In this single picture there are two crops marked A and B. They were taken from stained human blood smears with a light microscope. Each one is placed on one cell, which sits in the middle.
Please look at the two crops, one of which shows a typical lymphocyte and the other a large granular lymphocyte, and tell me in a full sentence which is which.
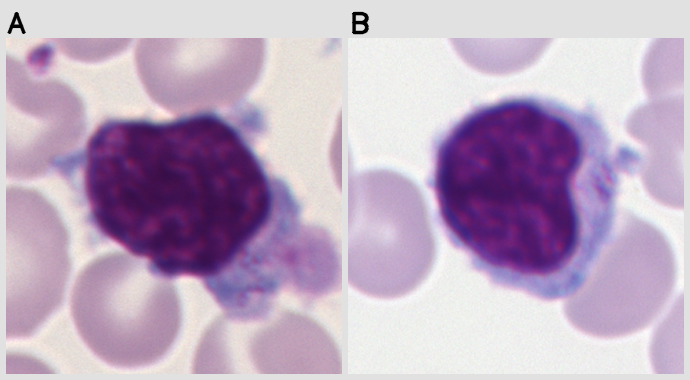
Recognised in crop A is a typical lymphocyte, and recognised in crop B is a large granular lymphocyte.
